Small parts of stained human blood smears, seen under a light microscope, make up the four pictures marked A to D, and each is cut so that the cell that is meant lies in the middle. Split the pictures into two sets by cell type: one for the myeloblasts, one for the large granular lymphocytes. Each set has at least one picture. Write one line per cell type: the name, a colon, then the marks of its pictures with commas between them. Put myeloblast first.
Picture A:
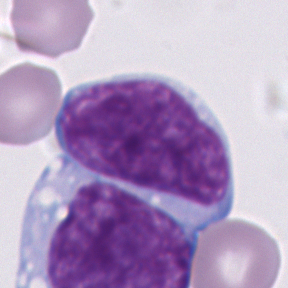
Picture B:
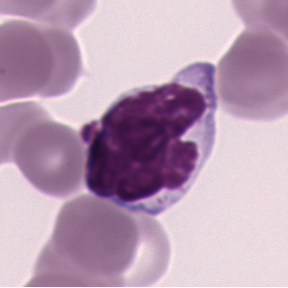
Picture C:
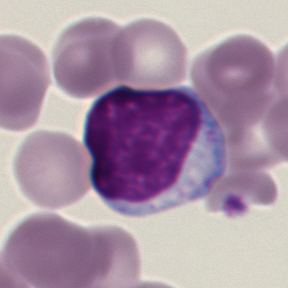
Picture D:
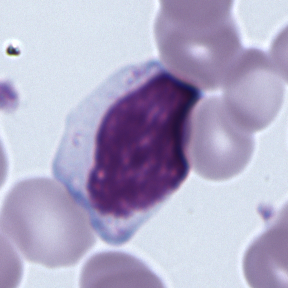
myeloblast: A
large granular lymphocyte: B, C, D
